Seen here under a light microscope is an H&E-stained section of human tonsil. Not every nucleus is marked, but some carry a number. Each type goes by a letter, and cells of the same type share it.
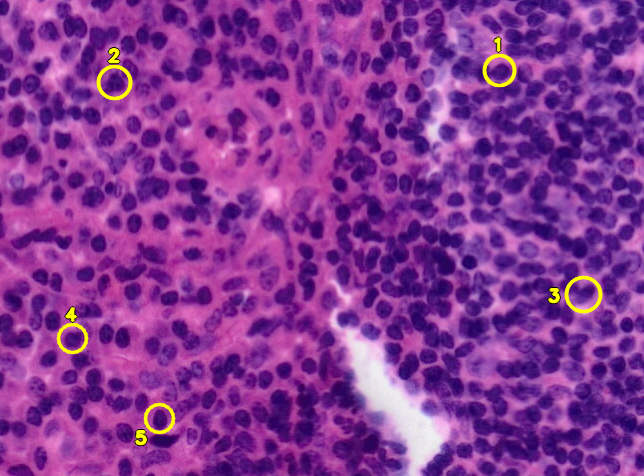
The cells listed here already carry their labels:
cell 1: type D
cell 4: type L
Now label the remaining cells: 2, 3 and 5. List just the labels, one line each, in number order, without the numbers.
type L
type D
type L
